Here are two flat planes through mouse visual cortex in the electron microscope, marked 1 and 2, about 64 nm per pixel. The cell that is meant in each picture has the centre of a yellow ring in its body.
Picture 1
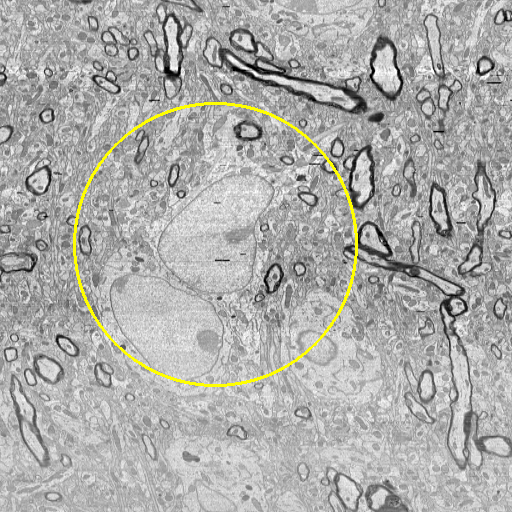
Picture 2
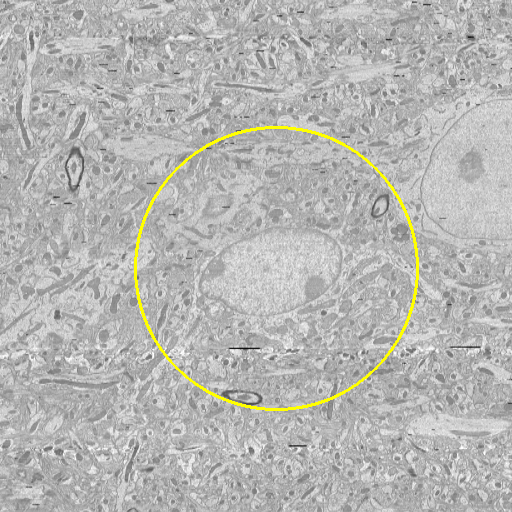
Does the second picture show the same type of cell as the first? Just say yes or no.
yes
